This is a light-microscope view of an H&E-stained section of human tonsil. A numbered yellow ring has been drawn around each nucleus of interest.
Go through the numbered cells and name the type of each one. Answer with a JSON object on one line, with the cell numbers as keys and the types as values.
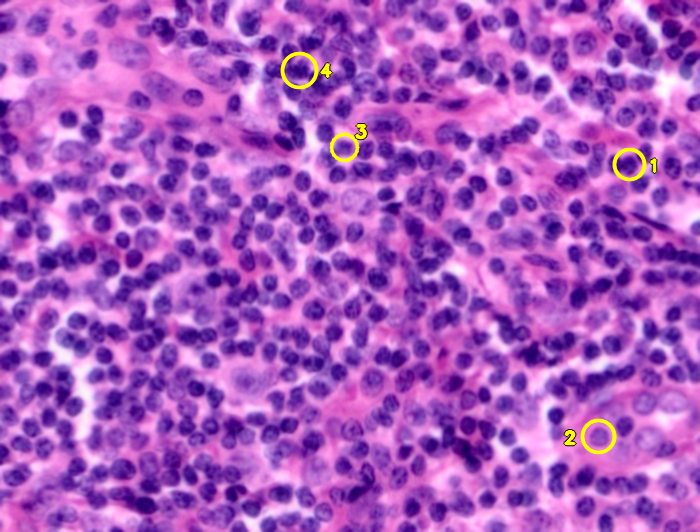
{"1": "small lymphocyte", "2": "endothelial cell", "3": "small lymphocyte", "4": "small lymphocyte"}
